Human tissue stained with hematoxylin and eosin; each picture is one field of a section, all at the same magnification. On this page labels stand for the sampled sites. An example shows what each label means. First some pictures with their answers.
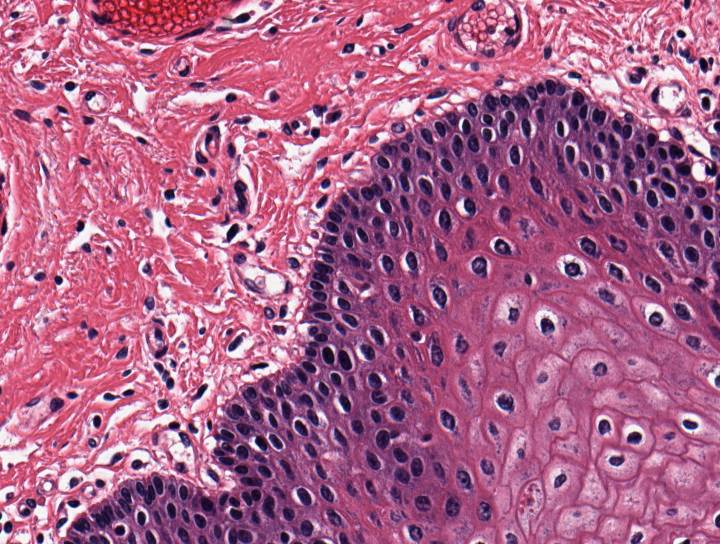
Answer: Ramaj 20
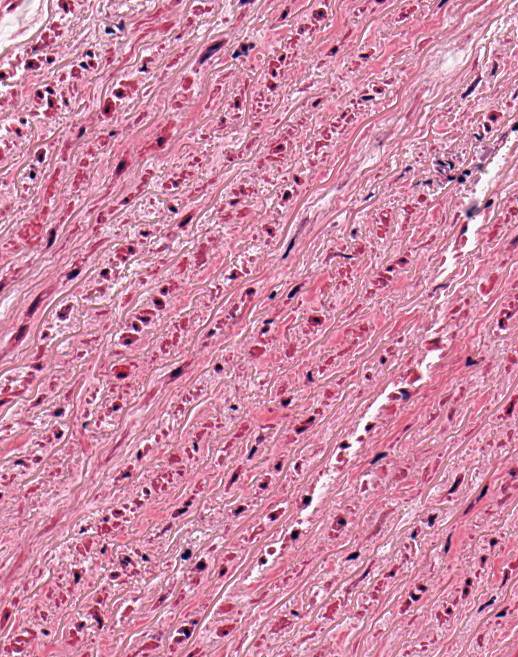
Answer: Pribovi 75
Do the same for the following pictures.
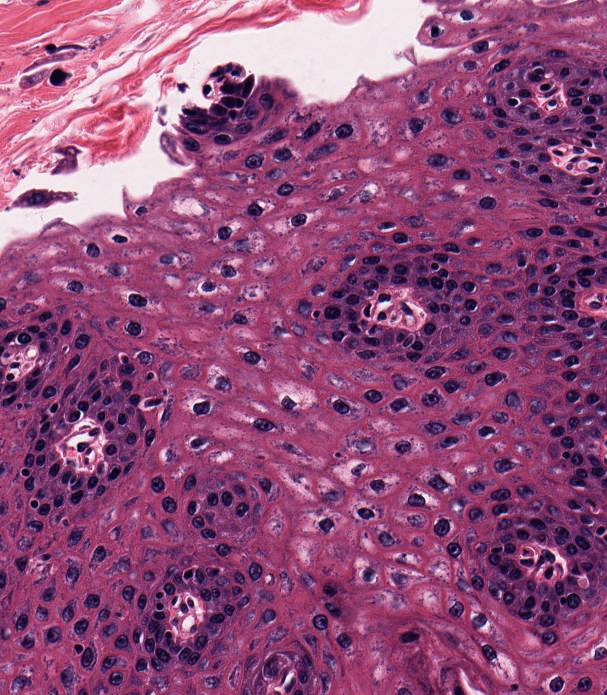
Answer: Ramaj 20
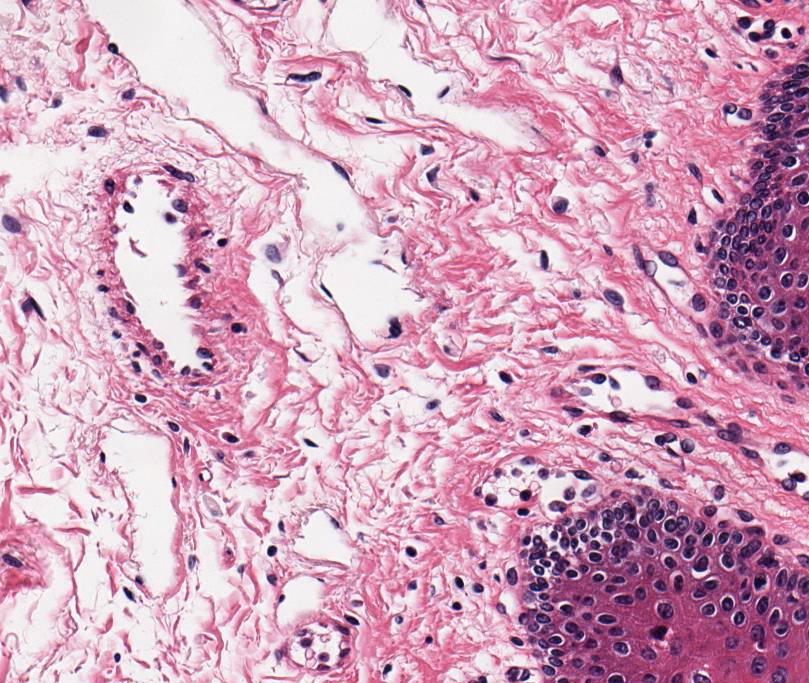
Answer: Ramaj 20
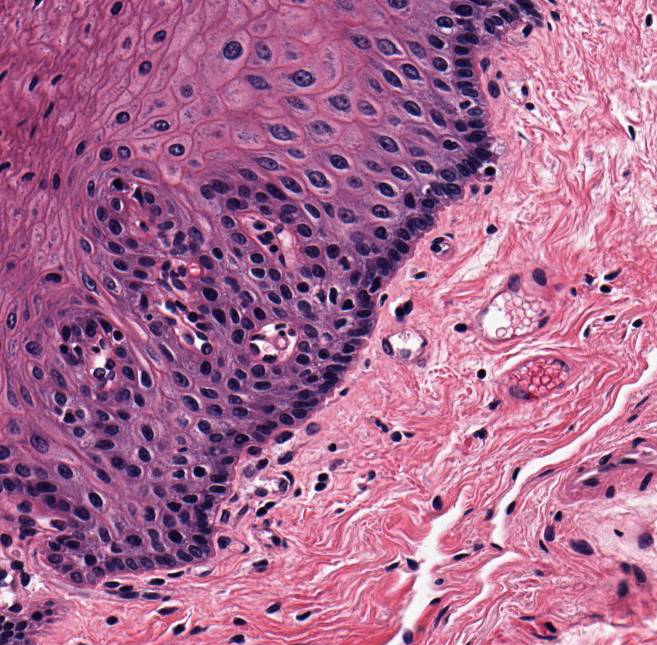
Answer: Ramaj 20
